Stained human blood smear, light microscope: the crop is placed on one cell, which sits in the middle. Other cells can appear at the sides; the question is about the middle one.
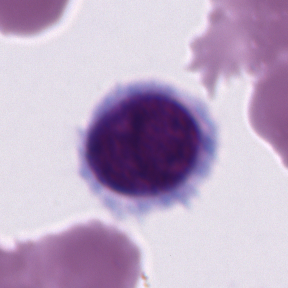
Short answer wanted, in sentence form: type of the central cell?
This crop is built around a hairy cell at its centre.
